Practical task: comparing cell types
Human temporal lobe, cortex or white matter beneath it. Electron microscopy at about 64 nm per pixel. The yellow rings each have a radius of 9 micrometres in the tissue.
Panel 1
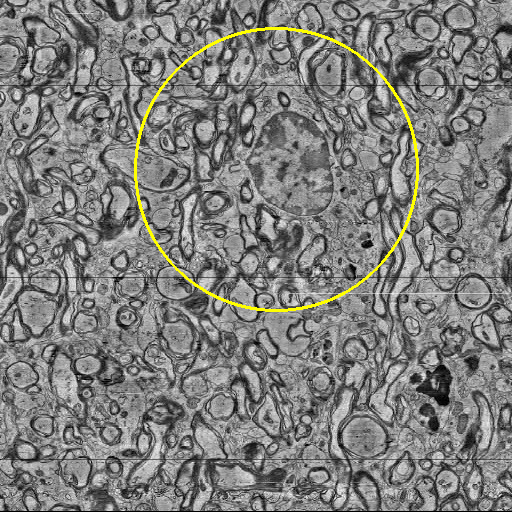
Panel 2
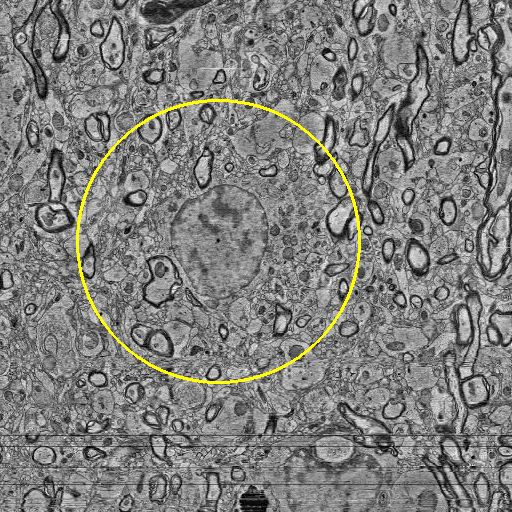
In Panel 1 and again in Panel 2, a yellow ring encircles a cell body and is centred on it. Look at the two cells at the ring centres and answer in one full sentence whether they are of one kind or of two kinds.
The two cells sitting at the ring centres of Panels 1 and 2 are of two kinds.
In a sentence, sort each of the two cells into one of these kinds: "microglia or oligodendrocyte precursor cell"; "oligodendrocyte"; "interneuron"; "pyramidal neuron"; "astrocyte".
The first of the two cells is a microglial cell or oligodendrocyte precursor cell, and the second is an oligodendrocyte.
